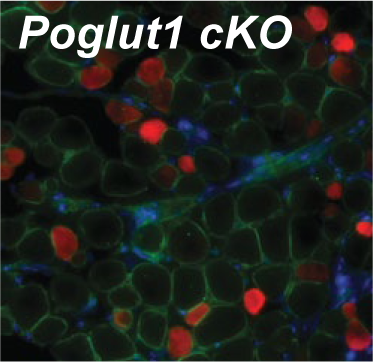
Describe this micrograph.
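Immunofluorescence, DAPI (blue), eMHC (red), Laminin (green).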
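This is a cross-section of muscle showing many myofibers cut transversely. Each fiber is a rounded to polygonal profile outlined by a thin green border, and the fibers pack tightly side by side. Small blue nuclei sit mostly at the edges of the fibers and in the spaces between them. A number of the fibers, scattered through the field, are filled with bright red, while most fibers are dark inside. The red-filled fibers tend to be small and rounded compared with their neighbours.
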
